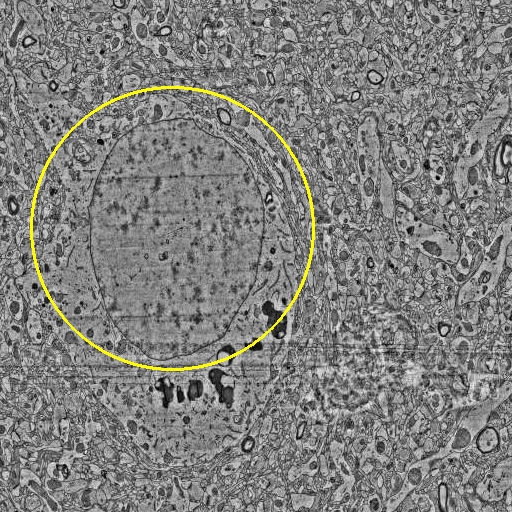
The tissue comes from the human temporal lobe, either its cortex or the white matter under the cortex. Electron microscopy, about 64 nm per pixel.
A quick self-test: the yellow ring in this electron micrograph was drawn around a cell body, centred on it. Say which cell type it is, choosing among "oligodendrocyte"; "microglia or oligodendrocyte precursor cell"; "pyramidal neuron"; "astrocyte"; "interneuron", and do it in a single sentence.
The yellow-ringed cell is a pyramidal neuron.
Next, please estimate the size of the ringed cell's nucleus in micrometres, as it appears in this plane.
In this plane, the nucleus of the cell at the centre of the ring measures about 15 by 11 micrometres.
